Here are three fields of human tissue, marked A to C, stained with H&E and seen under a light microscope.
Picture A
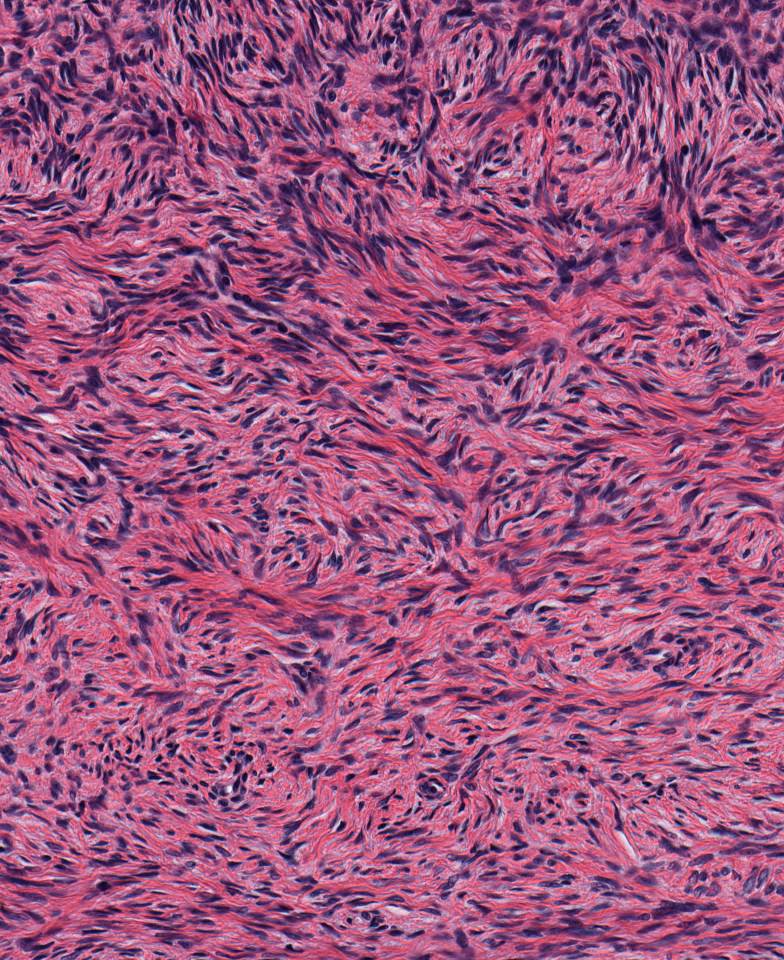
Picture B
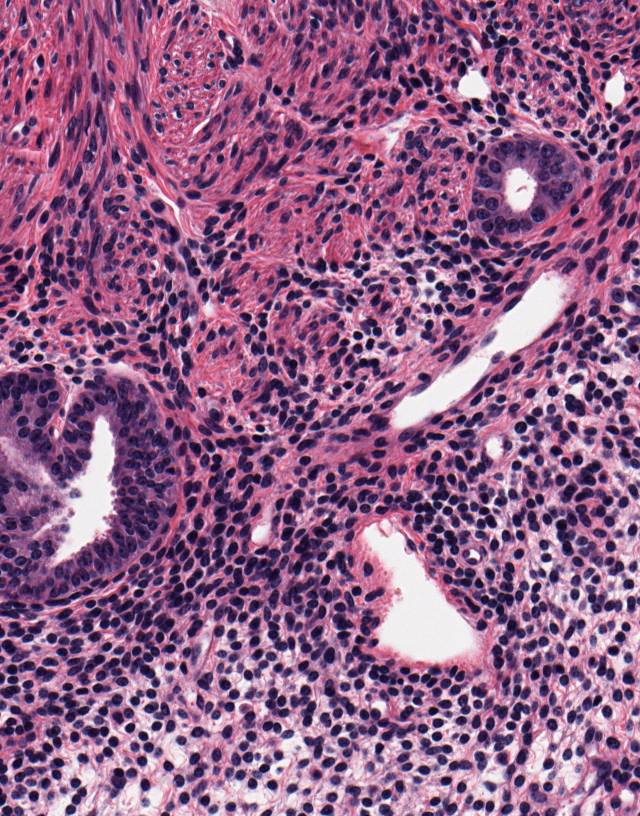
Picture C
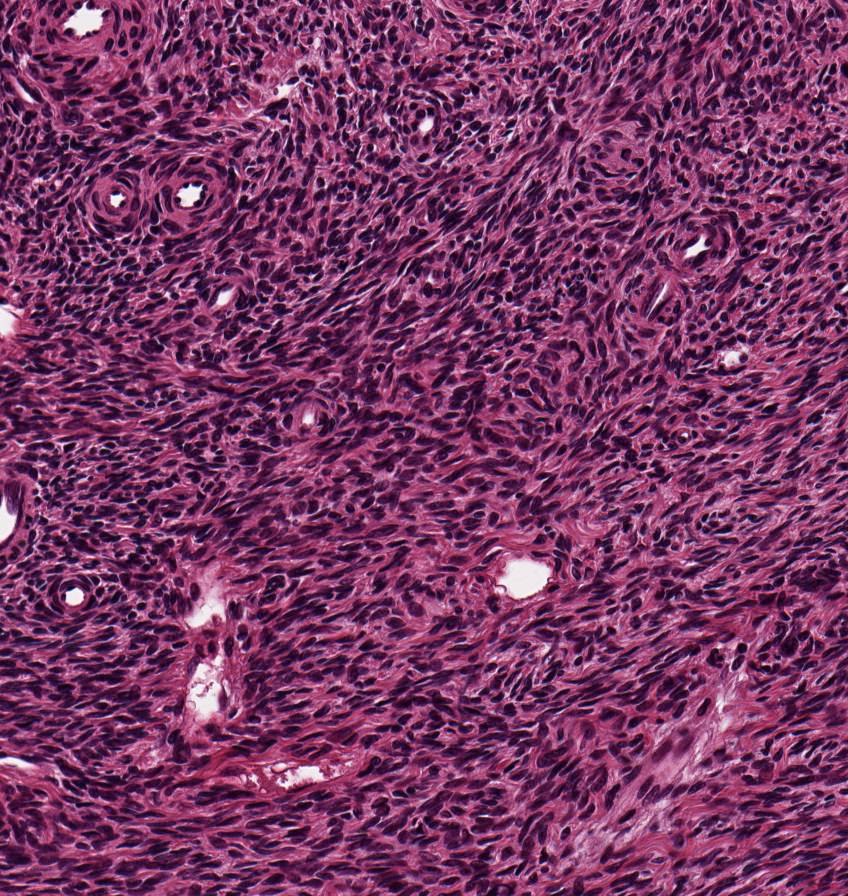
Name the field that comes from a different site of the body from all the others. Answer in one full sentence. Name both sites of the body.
All pictures except B come from the ovary; picture B comes from the body of the uterus.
